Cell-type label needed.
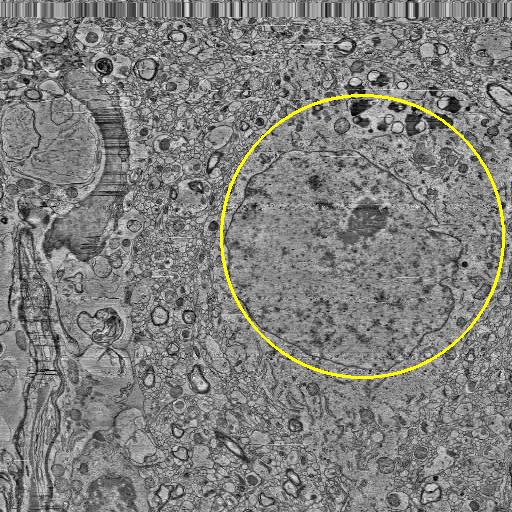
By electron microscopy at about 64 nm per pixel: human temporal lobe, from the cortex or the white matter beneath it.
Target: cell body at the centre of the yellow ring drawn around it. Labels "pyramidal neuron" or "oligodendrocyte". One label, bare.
pyramidal neuron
